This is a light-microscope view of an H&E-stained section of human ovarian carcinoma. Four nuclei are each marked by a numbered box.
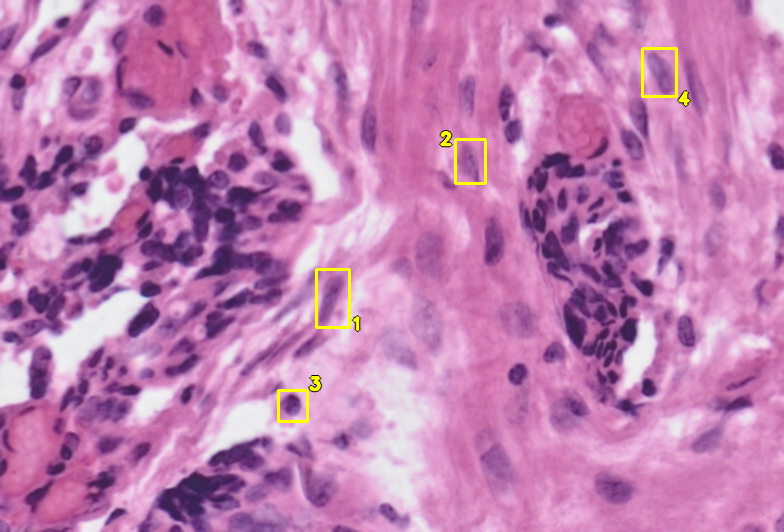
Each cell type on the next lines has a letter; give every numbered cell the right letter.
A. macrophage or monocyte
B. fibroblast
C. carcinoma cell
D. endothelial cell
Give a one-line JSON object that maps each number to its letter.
{"1": "B", "2": "B", "3": "A", "4": "B"}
